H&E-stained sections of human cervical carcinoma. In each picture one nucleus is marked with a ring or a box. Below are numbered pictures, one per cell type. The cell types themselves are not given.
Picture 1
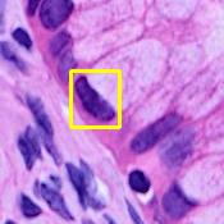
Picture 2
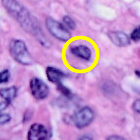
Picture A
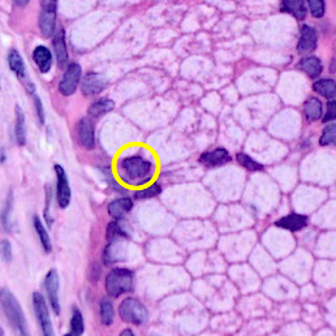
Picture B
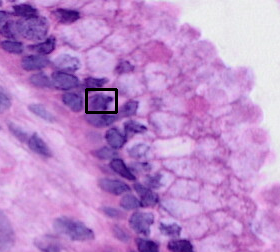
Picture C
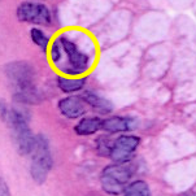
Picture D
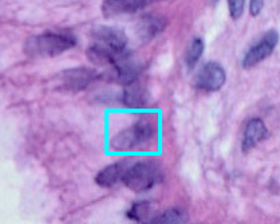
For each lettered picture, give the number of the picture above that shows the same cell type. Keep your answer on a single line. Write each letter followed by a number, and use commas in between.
A 1, B 1, C 1, D 1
